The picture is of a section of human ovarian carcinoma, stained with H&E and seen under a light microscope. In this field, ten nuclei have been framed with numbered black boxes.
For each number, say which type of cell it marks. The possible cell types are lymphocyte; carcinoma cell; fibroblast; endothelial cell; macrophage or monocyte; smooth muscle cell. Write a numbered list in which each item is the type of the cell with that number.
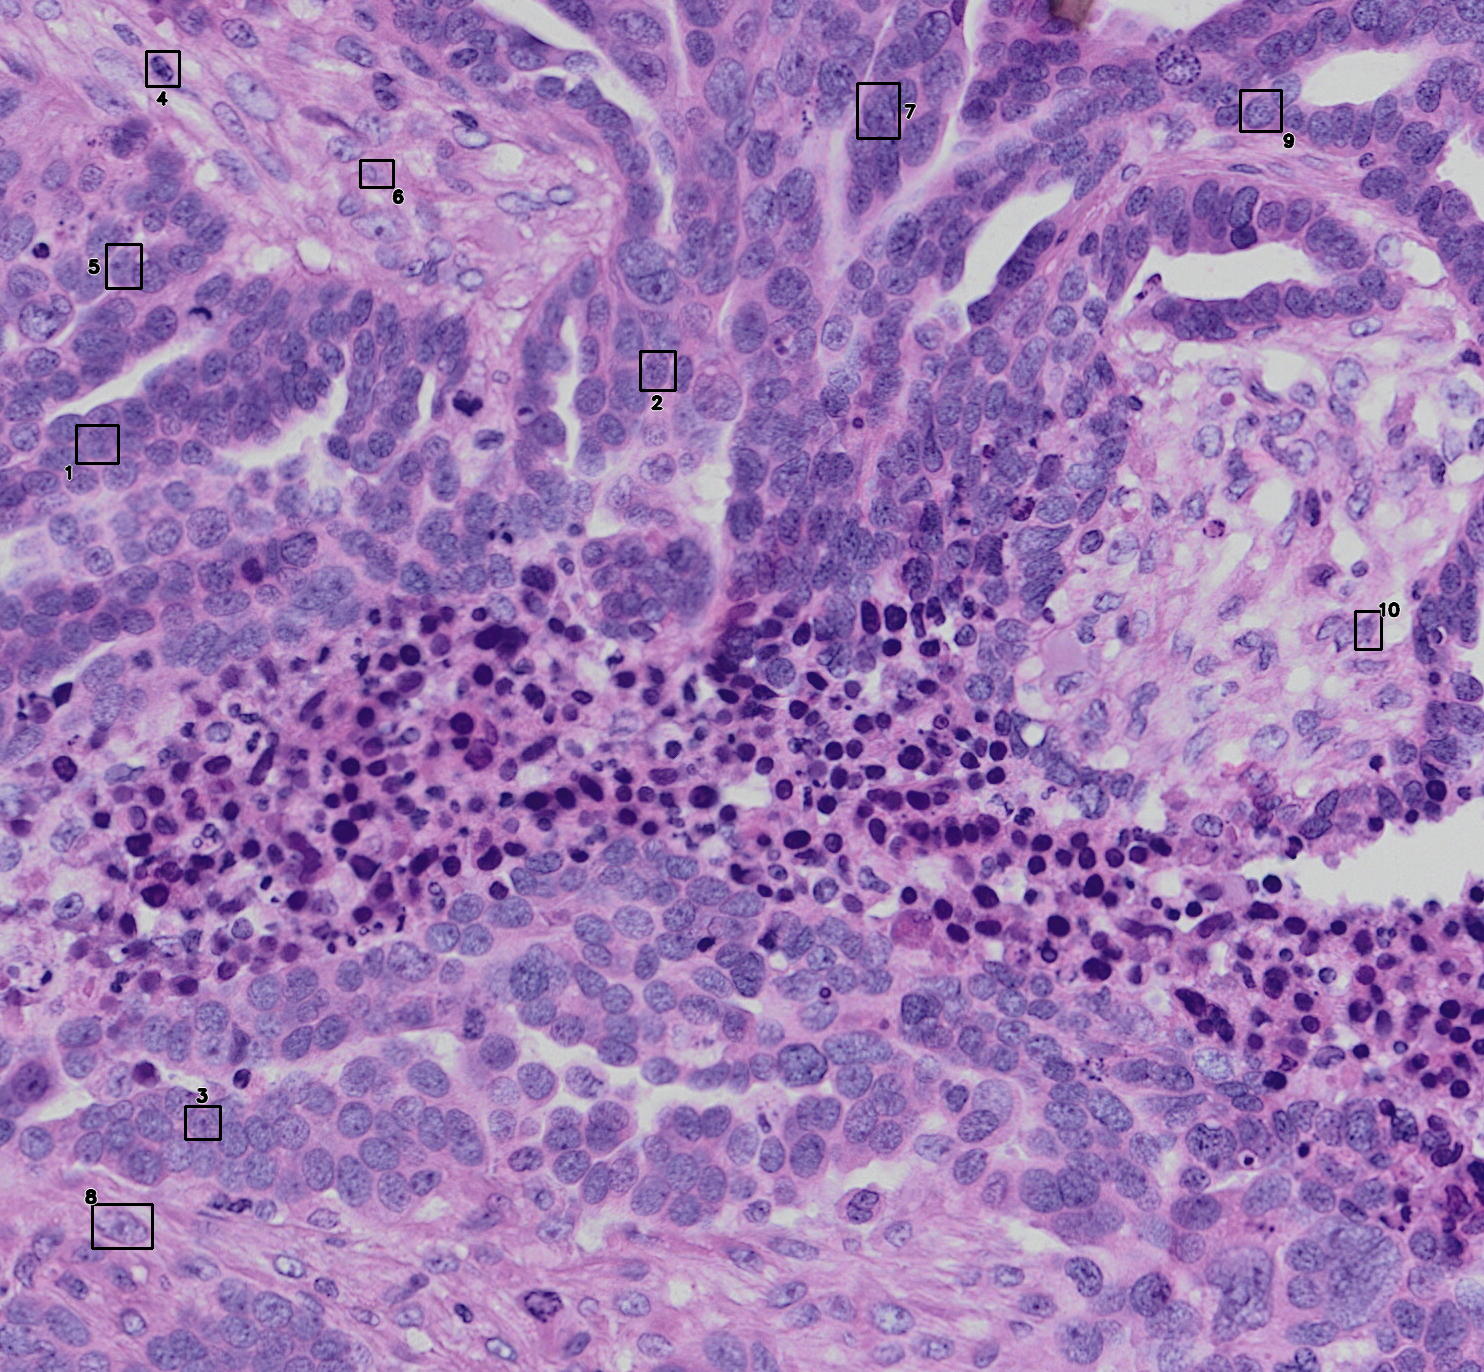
1. carcinoma cell
2. carcinoma cell
3. carcinoma cell
4. lymphocyte
5. carcinoma cell
6. fibroblast
7. carcinoma cell
8. fibroblast
9. carcinoma cell
10. fibroblast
